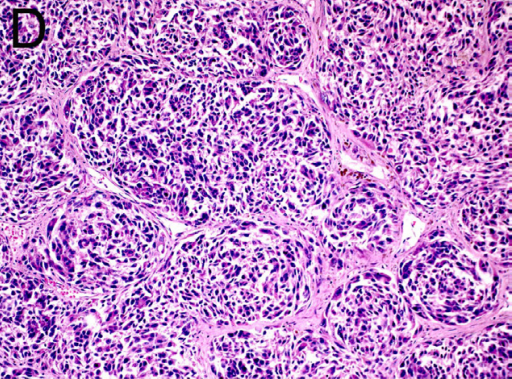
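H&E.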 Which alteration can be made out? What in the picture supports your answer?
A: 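Organoid pattern. Tumour cells grouped in rounded nests. Nests separated by thin fibrous septa.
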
